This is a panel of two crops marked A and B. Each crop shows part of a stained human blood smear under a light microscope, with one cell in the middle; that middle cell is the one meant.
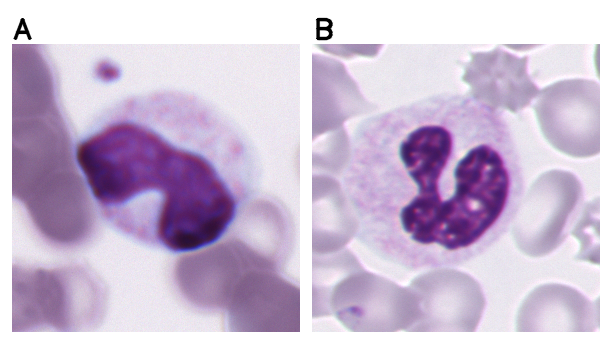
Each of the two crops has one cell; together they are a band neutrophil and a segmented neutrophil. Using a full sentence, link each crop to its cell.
In crop A there is a band neutrophil, and in crop B there is a segmented neutrophil.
